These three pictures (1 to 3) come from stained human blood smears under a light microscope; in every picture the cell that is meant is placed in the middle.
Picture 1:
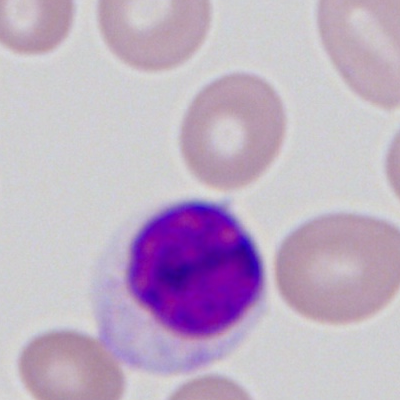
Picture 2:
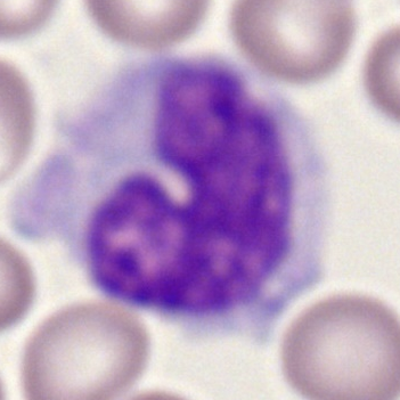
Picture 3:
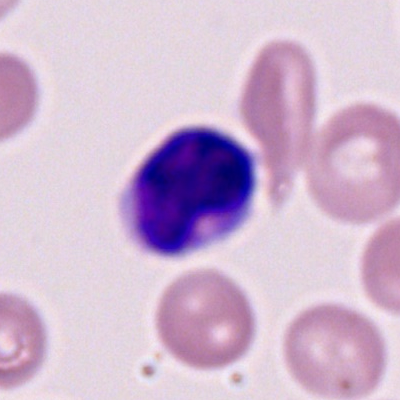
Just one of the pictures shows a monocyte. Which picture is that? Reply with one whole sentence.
Picture 2 is the one that shows the monocyte.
